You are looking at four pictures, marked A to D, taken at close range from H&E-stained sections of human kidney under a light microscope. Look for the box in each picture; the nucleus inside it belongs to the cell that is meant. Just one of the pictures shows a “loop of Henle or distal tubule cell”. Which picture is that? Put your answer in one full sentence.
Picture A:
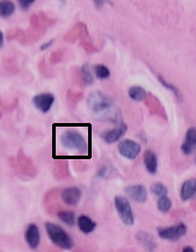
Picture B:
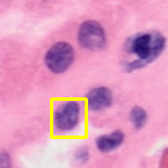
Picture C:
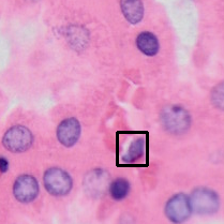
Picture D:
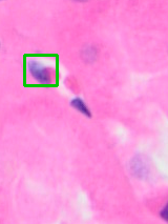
The picture with the “loop of Henle or distal tubule cell” is B.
